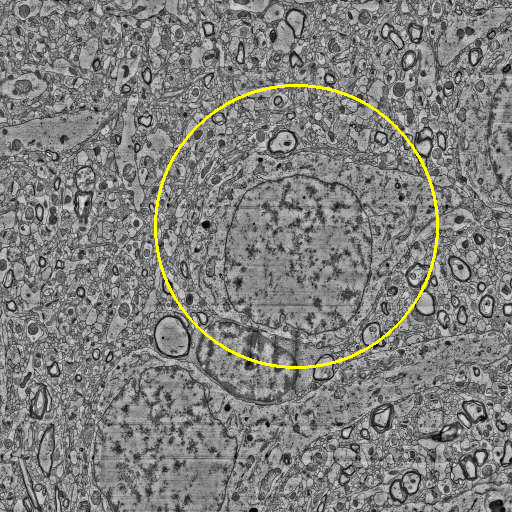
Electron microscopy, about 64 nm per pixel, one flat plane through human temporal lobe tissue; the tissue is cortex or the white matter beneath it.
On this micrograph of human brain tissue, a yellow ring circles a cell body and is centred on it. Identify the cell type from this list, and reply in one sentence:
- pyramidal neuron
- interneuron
The cell at the centre is a pyramidal neuron.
